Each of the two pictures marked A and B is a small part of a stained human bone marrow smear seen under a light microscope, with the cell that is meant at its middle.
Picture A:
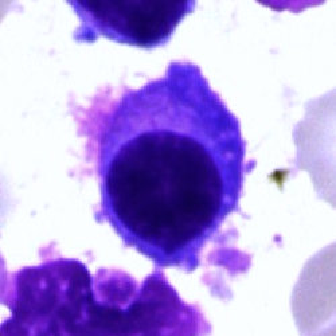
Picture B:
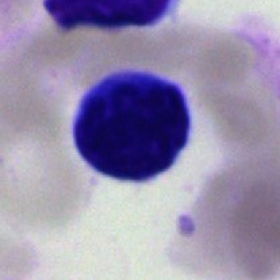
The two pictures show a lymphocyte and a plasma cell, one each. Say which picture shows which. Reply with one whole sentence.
Picture B shows a lymphocyte, while picture A shows a plasma cell.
